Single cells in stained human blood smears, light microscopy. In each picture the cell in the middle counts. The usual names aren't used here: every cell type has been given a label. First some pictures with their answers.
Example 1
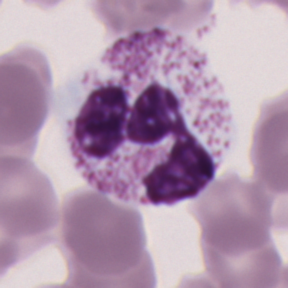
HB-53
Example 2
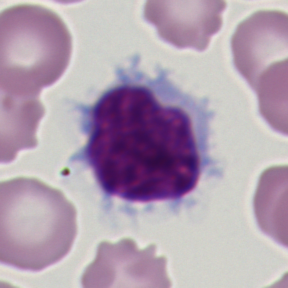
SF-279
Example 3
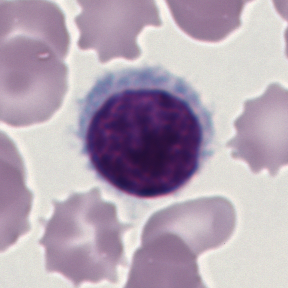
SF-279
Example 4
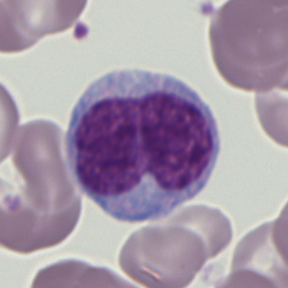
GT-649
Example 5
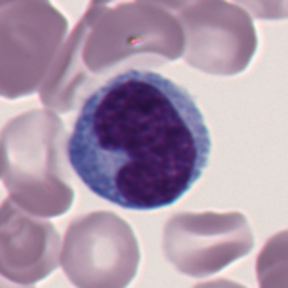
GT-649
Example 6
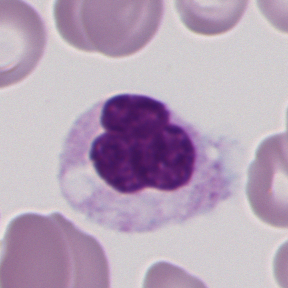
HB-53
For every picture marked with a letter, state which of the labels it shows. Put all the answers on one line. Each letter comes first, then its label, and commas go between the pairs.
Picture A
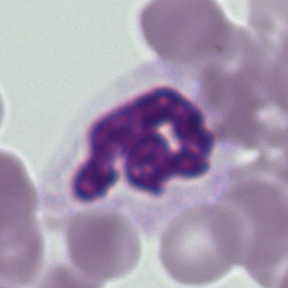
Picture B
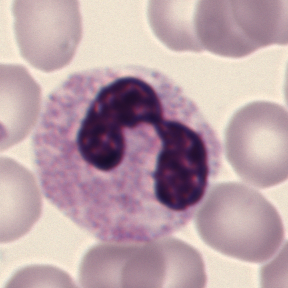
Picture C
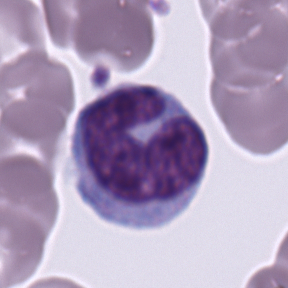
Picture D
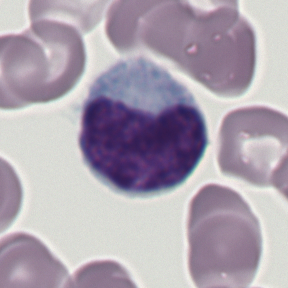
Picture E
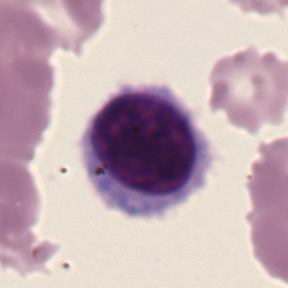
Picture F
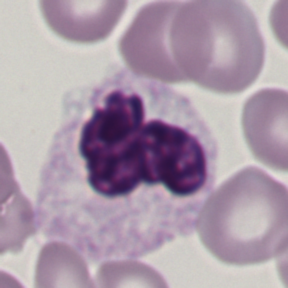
A HB-53, B HB-53, C GT-649, D GT-649, E SF-279, F HB-53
